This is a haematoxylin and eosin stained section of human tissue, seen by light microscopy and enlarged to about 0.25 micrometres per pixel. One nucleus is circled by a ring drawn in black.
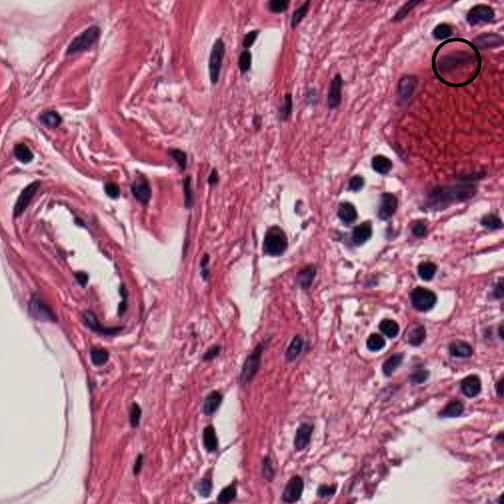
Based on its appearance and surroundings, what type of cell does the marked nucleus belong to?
endothelial cell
